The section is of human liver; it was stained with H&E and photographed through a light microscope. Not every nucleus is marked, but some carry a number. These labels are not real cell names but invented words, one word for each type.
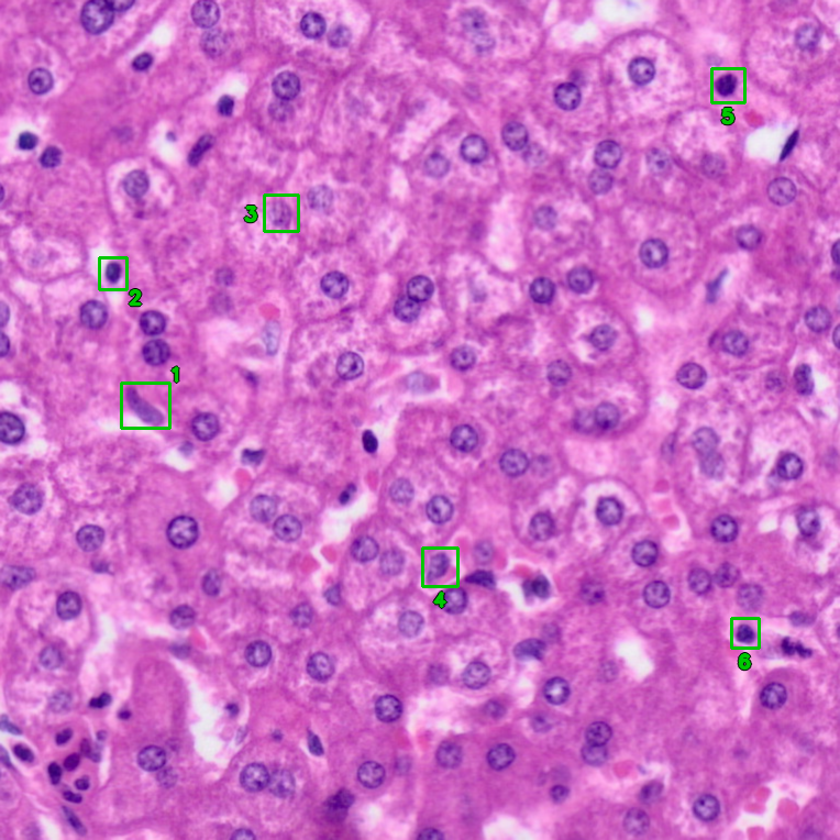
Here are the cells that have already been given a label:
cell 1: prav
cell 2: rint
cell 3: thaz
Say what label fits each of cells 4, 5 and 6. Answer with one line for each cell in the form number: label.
4: prav
5: rint
6: rint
